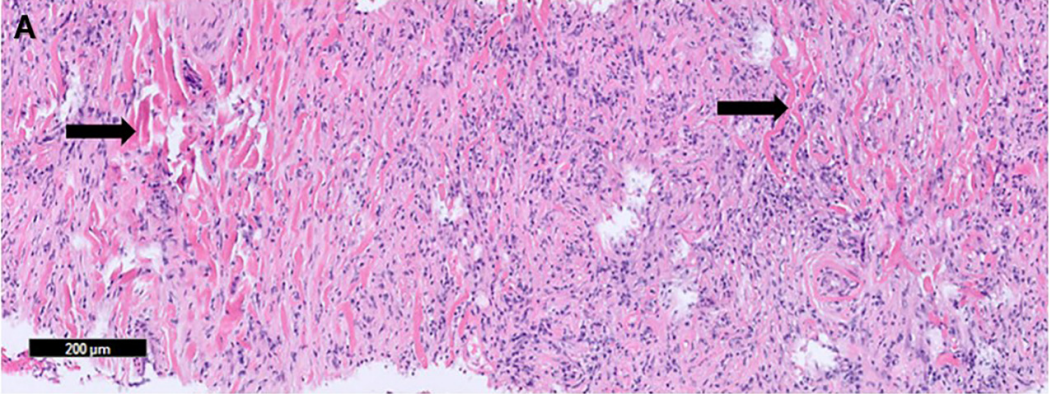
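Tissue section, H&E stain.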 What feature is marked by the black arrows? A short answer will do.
keloid-type collagen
